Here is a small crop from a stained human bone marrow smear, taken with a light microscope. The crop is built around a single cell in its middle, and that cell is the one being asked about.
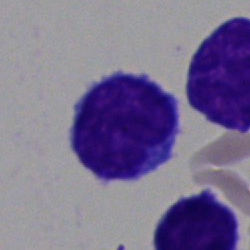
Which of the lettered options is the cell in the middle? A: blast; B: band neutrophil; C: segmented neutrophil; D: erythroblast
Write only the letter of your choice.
A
